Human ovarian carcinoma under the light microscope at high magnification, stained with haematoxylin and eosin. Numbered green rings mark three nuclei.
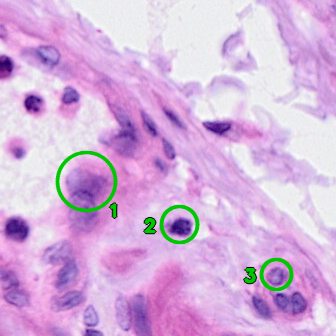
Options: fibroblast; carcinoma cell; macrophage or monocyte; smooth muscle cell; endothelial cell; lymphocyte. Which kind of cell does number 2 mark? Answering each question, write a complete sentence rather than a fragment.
The cell that carries the label 2 is a lymphocyte.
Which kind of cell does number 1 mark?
The one labeled 1 is an endothelial cell, to put it simply.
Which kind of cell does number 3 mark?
The cell referenced by the number 3 is an endothelial cell in this field.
